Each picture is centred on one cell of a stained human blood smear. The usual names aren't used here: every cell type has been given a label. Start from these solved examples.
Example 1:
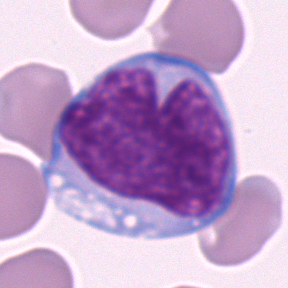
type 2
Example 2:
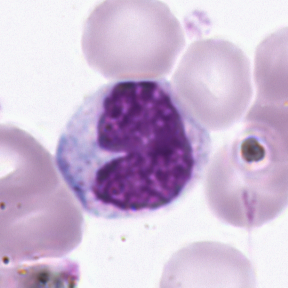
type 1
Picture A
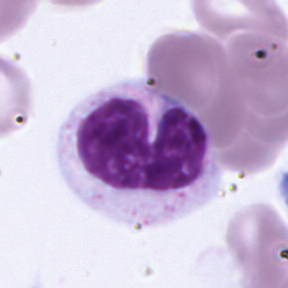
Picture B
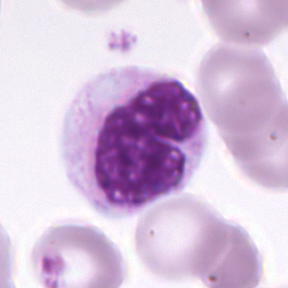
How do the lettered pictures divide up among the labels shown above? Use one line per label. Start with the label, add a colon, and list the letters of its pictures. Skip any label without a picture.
type 1: A, B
